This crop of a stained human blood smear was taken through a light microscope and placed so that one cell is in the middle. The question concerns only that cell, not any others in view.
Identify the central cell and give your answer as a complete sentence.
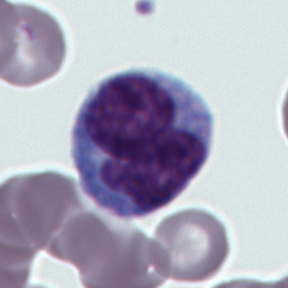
The cell positioned in the middle of the field is a monocyte.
